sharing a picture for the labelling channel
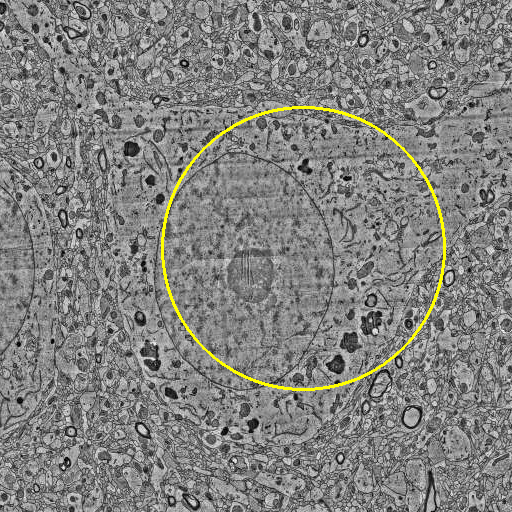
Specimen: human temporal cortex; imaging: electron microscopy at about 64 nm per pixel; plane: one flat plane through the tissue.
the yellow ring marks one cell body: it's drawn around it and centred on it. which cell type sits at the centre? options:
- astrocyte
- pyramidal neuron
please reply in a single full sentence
In the picture, the cell at the ring's centre is a pyramidal neuron, going by the list.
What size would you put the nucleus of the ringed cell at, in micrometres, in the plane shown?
About 15 by 12 micrometers for the nucleus, in this plane.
